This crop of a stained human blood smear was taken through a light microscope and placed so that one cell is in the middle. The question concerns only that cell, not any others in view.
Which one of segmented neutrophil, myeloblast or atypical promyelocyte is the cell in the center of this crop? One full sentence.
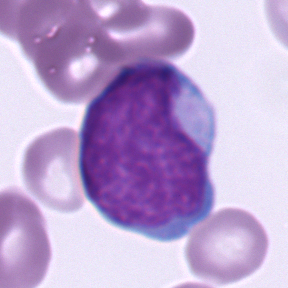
In this crop, the cell at the very middle is a myeloblast.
